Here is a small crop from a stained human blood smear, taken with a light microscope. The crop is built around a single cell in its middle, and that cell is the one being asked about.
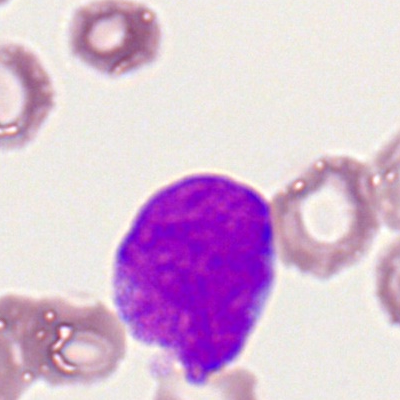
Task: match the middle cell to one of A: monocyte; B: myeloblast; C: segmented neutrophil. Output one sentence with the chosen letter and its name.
Here the right option is B, as the cell in the middle is a myeloblast.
